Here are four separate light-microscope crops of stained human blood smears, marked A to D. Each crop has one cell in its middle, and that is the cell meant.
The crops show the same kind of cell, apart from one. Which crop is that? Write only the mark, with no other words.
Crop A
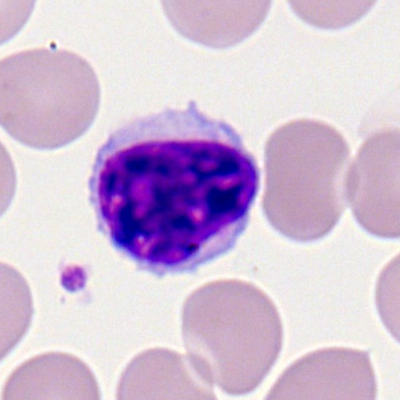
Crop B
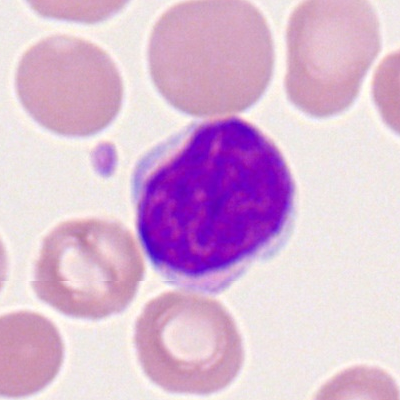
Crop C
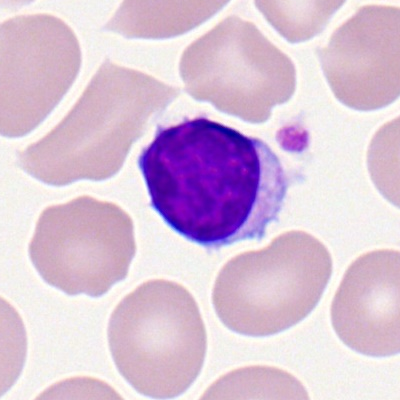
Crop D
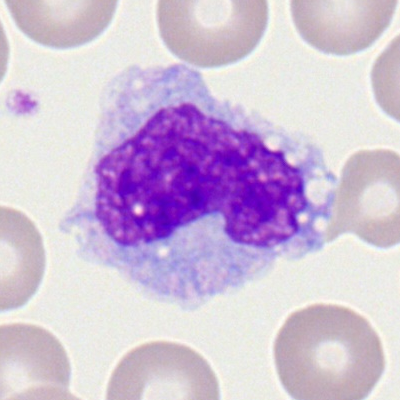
D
